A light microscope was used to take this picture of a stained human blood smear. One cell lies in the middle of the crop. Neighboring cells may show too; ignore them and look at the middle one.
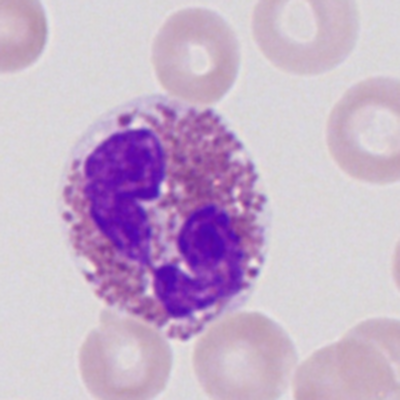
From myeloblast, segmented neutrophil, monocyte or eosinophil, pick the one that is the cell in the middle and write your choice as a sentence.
Located at the centre of the crop is an eosinophil.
